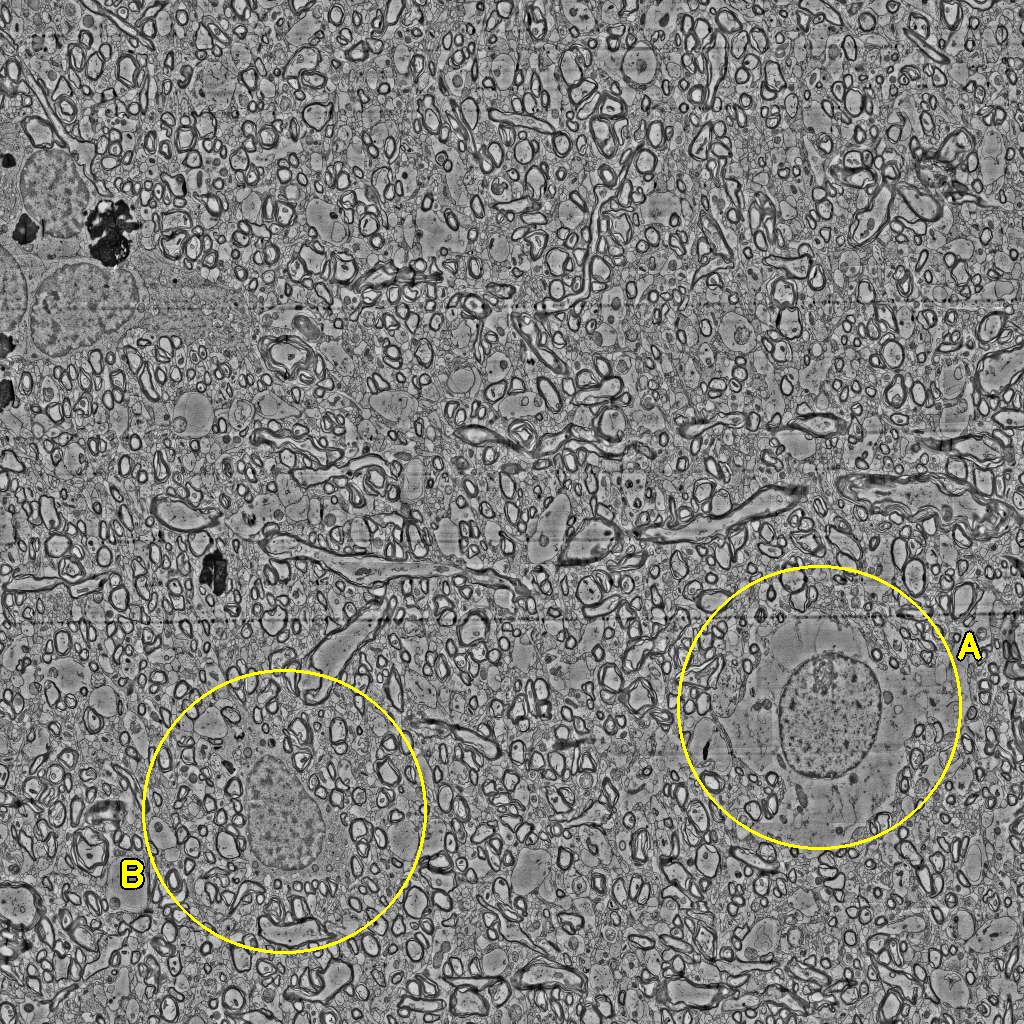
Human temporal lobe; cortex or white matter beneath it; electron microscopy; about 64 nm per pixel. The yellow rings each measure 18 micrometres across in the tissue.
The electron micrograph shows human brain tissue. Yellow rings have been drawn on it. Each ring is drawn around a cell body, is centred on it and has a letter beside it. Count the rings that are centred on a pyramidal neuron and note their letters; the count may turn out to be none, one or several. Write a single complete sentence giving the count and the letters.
Not even one of the lettered rings is centred on a pyramidal neuron, so the count is zero.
